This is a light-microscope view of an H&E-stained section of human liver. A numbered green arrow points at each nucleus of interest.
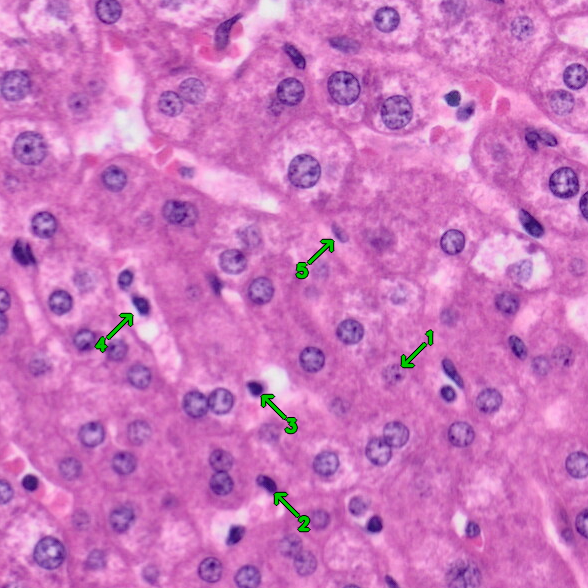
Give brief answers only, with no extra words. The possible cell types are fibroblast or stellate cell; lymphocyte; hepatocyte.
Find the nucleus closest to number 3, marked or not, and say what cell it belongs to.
hepatocyte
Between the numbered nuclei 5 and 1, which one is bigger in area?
1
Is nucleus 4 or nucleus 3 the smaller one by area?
3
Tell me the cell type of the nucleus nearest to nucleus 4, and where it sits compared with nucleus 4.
a lymphocyte above and to the left of nucleus 4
